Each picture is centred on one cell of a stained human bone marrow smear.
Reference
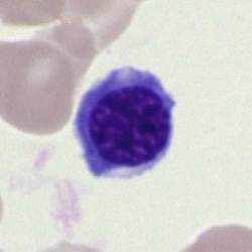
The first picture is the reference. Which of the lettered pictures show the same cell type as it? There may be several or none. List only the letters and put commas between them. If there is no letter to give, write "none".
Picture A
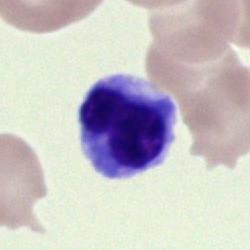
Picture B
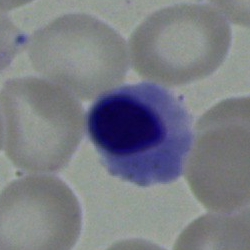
A, B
